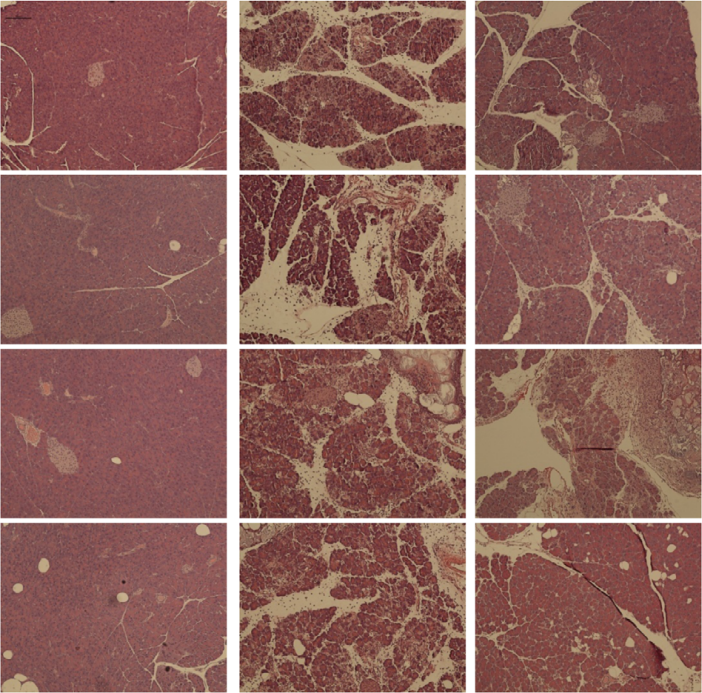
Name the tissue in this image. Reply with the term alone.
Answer: Pancreas.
